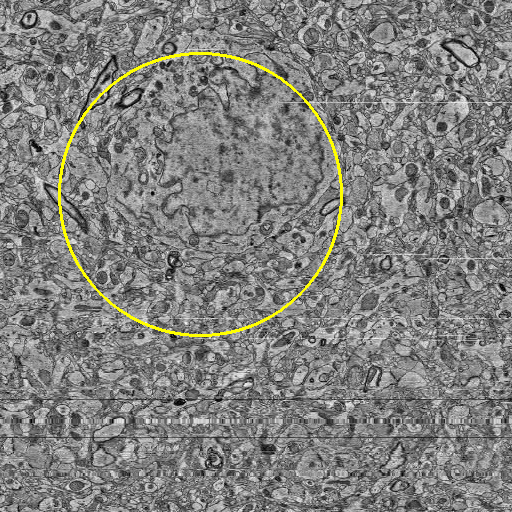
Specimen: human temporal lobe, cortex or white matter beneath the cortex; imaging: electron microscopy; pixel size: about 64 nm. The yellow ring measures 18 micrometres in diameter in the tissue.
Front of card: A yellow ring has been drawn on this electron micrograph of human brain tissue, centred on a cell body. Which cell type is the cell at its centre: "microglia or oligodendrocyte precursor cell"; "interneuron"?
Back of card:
interneuron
